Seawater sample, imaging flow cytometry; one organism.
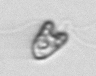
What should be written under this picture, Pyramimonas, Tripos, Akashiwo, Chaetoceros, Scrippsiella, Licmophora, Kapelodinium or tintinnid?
Pyramimonas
